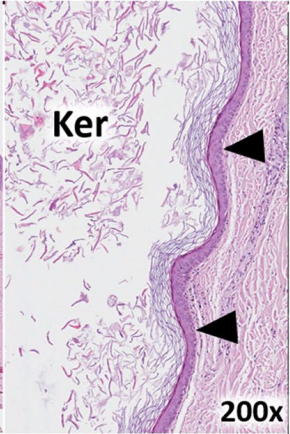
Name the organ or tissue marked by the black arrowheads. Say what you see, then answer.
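The arrowheads point to a thin band of stacked, darker purple-stained cells lining the cavity. The band lies between pale flaky contents on the left and pink fibrous tissue on the right. That points to this answer: multi-layered epithelium.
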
